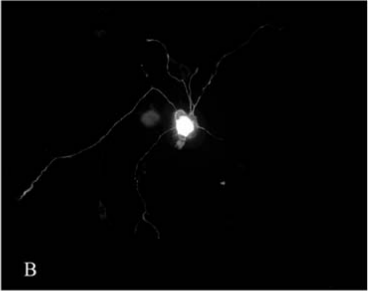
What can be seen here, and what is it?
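A single dissociated neuron lies in the middle of a dark field, its round cell body glowing brightly. From this cell body several thin, beaded processes radiate in different directions. A few dim, rounded shapes lie scattered in the background without processes.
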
